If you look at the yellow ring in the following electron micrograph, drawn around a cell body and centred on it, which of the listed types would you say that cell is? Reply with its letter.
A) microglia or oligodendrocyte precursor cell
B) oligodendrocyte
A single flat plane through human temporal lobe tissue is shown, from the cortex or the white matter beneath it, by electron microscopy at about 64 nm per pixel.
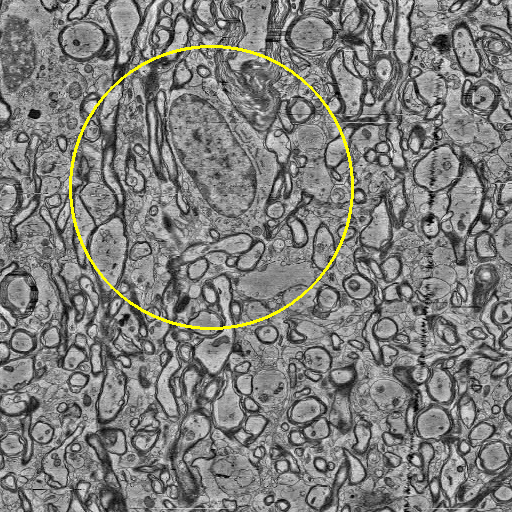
A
